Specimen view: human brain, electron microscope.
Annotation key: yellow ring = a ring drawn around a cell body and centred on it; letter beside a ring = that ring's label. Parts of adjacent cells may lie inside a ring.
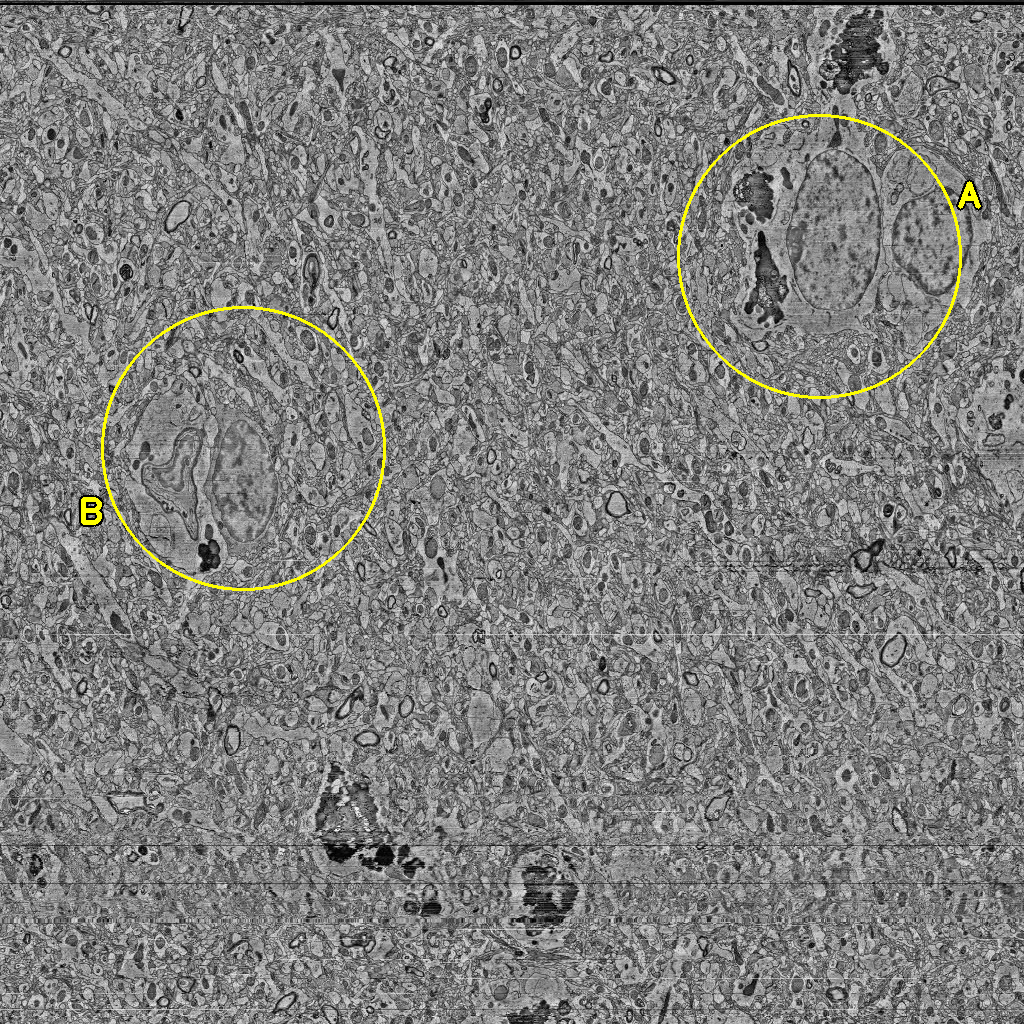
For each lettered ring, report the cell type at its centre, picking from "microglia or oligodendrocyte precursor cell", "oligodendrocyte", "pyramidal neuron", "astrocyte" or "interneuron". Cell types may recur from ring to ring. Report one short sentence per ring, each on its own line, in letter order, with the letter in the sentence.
The cell at the centre of ring A is an astrocyte.
The cell at the centre of ring B is an oligodendrocyte.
